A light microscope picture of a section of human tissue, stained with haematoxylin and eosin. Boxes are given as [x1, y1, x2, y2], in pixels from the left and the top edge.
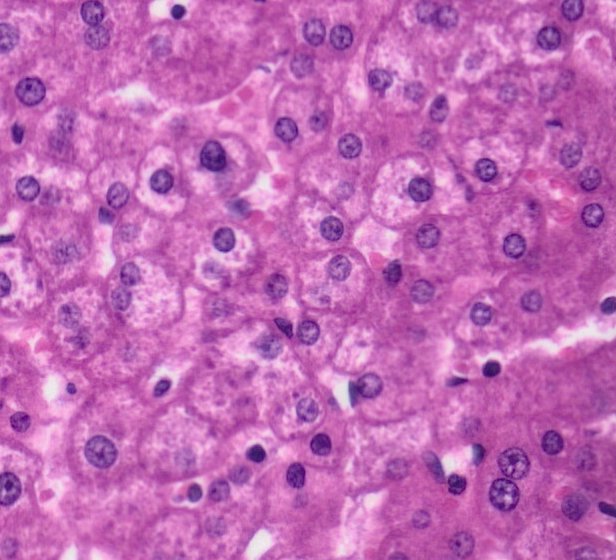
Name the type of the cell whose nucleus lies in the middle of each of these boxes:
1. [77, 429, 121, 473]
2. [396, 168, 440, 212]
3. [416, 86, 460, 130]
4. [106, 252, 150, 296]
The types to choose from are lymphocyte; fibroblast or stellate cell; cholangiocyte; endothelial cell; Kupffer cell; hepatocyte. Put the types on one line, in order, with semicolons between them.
hepatocyte; hepatocyte; Kupffer cell; hepatocyte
